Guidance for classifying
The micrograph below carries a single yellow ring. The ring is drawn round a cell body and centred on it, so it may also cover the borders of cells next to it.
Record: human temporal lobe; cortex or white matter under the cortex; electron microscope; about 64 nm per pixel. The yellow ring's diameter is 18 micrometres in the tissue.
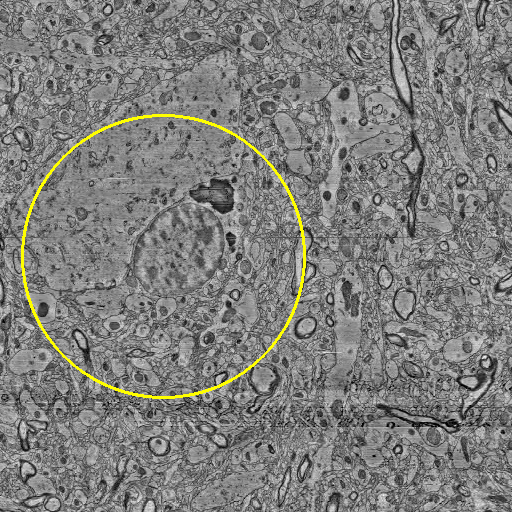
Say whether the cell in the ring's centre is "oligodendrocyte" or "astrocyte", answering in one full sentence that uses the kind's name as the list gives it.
Within the yellow ring, an oligodendrocyte is the cell whose body sits at the centre.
